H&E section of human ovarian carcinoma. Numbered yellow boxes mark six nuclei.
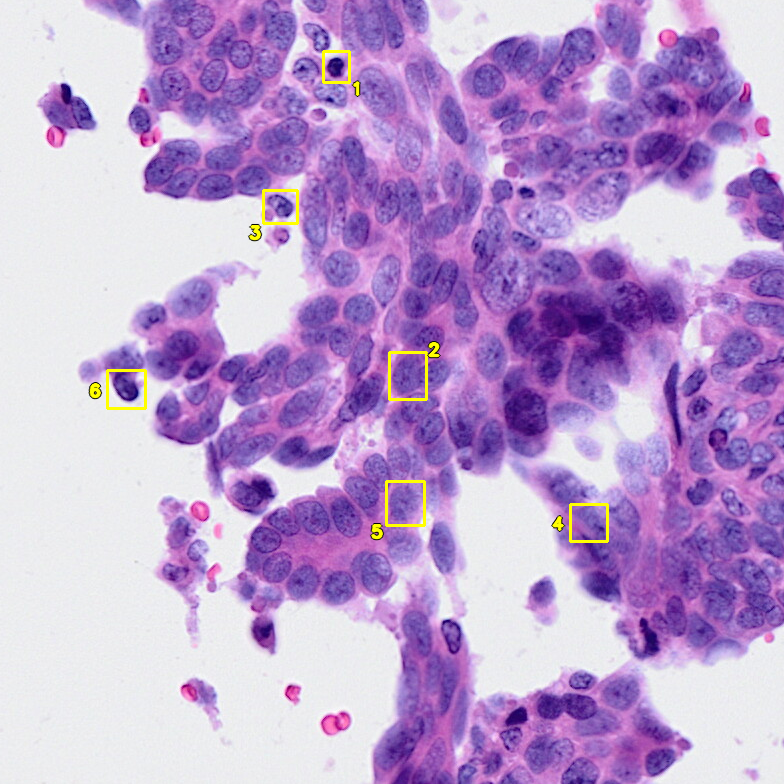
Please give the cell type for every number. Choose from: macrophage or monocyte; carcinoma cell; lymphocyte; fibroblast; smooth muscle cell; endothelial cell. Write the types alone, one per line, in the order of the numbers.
lymphocyte
carcinoma cell
macrophage or monocyte
carcinoma cell
carcinoma cell
carcinoma cell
